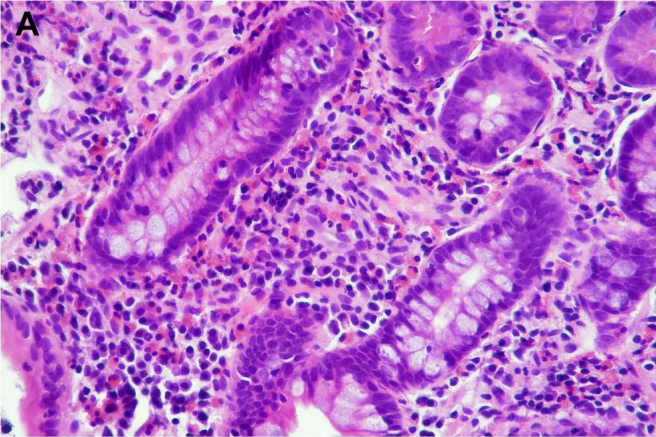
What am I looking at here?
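Intestinal mucosa with glands lined by columnar epithelium containing goblet cells with pale mucin vacuoles, set in a cellular lamina propria. The lamina propria between the glands is densely filled with inflammatory cells, many of which are eosinophils with bright red-pink granular cytoplasm. These lie mixed with small dark round lymphocytes and plasma cells, so that the stroma looks crowded and red-speckled.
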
